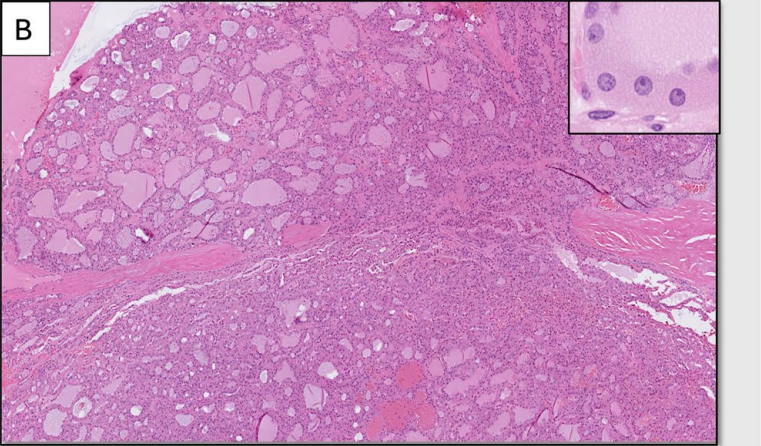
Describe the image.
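Thyroid tumor tissue made of crowded follicles of varying size, many containing pale pink colloid, separated by cellular sheets with purple nuclei. Thick pink fibrous capsule bands cross the field, and tumor follicles lie on both sides of them, interrupting their continuity at the site of invasion. A high-magnification inset at the top right shows tumor cells with abundant, pale pink, finely granular cytoplasm and round, fairly uniform nuclei with small nucleoli, lying at the edge of a colloid-filled follicle.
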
